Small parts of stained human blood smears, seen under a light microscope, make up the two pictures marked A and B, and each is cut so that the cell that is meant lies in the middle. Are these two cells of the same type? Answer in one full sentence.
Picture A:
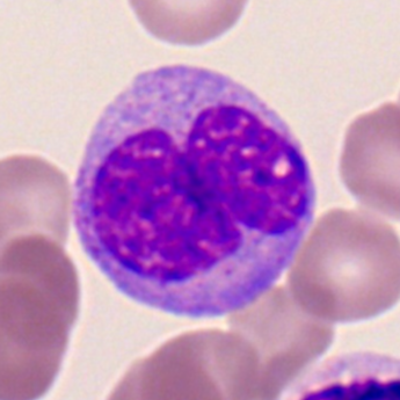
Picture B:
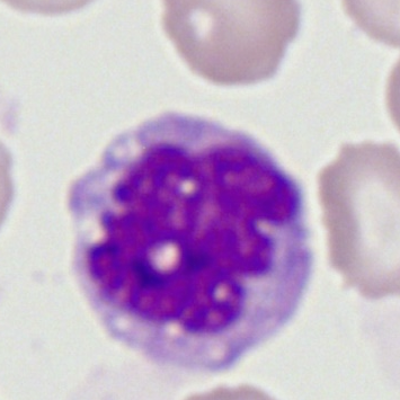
Yes; the cells in both pictures are monocytes.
